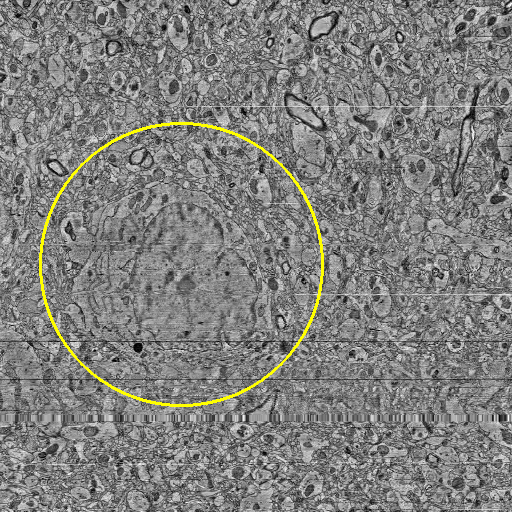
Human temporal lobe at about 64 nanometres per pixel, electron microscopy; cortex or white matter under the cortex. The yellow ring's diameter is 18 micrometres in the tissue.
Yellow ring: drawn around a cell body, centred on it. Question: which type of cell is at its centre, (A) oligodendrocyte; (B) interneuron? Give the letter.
B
